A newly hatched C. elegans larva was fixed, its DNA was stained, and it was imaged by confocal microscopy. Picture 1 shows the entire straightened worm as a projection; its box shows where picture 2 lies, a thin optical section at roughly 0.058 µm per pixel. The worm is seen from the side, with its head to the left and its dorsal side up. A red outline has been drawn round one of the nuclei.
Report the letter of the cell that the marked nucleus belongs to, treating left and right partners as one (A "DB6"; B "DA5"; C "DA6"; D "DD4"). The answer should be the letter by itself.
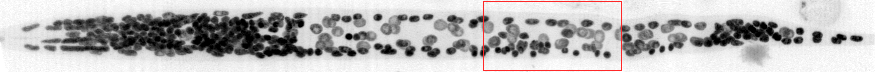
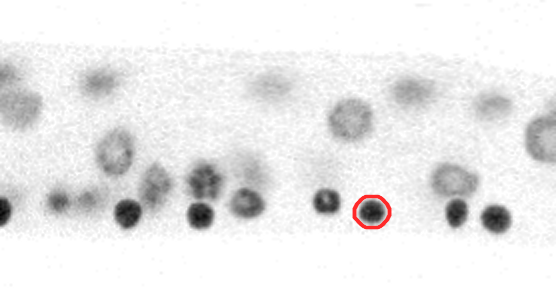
D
